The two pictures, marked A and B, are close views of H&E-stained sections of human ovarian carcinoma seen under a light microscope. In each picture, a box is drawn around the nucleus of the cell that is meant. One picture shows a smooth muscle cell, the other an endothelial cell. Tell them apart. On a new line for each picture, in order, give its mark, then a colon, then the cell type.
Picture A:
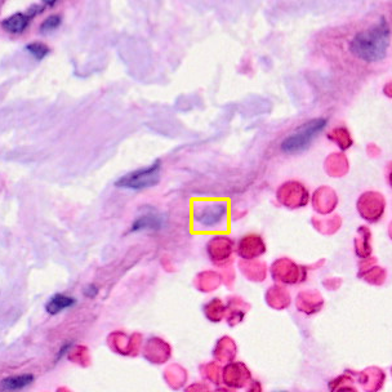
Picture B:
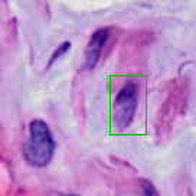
A: endothelial cell
B: smooth muscle cell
